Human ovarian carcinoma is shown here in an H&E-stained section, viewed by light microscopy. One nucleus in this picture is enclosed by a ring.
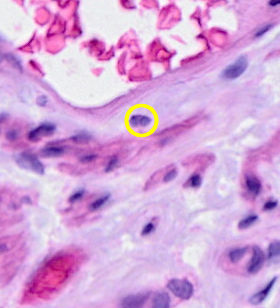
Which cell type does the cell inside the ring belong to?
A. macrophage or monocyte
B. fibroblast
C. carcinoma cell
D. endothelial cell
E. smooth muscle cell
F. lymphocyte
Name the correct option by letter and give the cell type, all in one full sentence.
Option F holds, since the cell inside the ring is a lymphocyte.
